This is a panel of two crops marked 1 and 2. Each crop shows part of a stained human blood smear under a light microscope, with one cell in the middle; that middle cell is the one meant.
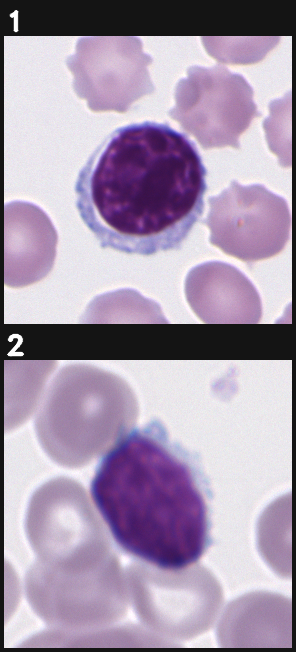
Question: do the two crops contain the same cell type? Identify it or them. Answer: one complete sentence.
Yes, both crops alike show typical lymphocytes at the centre.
